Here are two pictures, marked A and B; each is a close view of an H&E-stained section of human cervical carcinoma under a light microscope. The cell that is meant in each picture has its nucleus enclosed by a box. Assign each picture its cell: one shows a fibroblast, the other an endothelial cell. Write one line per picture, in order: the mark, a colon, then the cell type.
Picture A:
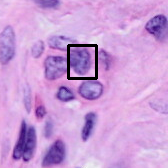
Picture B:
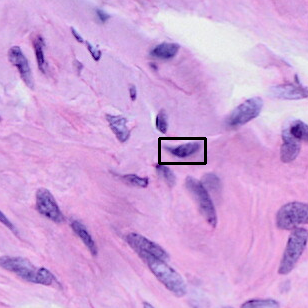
A: endothelial cell
B: fibroblast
